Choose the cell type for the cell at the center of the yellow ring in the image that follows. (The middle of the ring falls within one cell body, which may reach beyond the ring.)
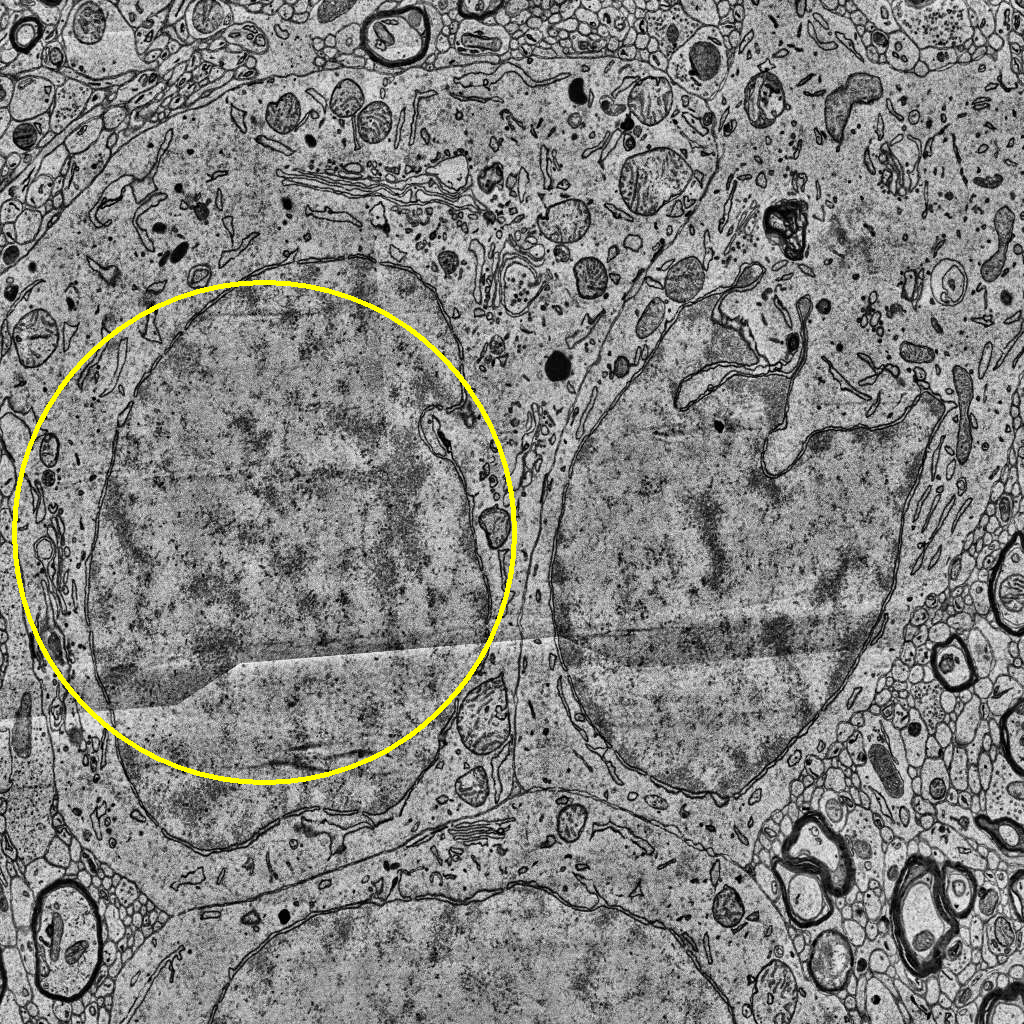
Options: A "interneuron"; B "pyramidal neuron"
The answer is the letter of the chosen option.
B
